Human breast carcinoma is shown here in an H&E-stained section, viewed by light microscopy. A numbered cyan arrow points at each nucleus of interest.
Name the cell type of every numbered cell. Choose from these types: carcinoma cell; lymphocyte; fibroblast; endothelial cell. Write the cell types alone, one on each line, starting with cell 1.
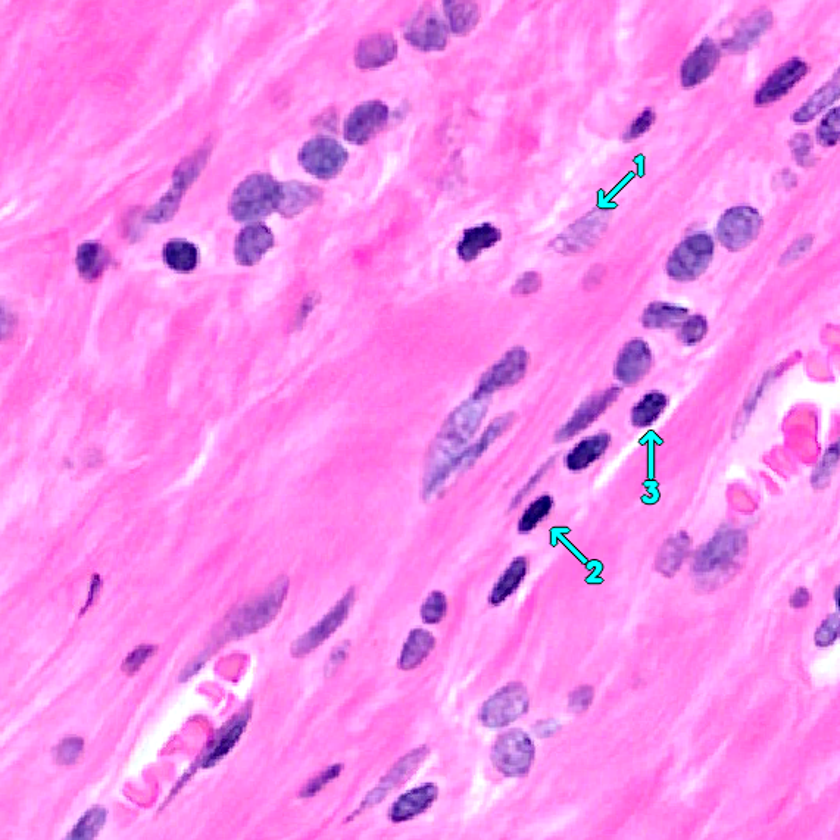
fibroblast
lymphocyte
lymphocyte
